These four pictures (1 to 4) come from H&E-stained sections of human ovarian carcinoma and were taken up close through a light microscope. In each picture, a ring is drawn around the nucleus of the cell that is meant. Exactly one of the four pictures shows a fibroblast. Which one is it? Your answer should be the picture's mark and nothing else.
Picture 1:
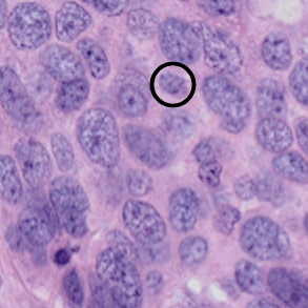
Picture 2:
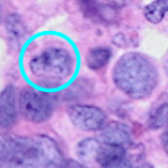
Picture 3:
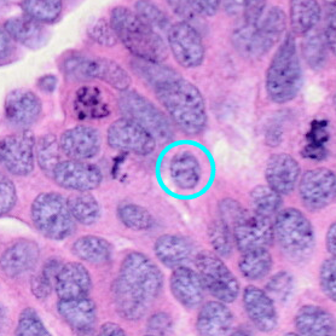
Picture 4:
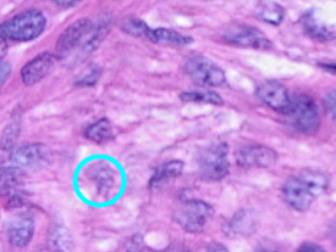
4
